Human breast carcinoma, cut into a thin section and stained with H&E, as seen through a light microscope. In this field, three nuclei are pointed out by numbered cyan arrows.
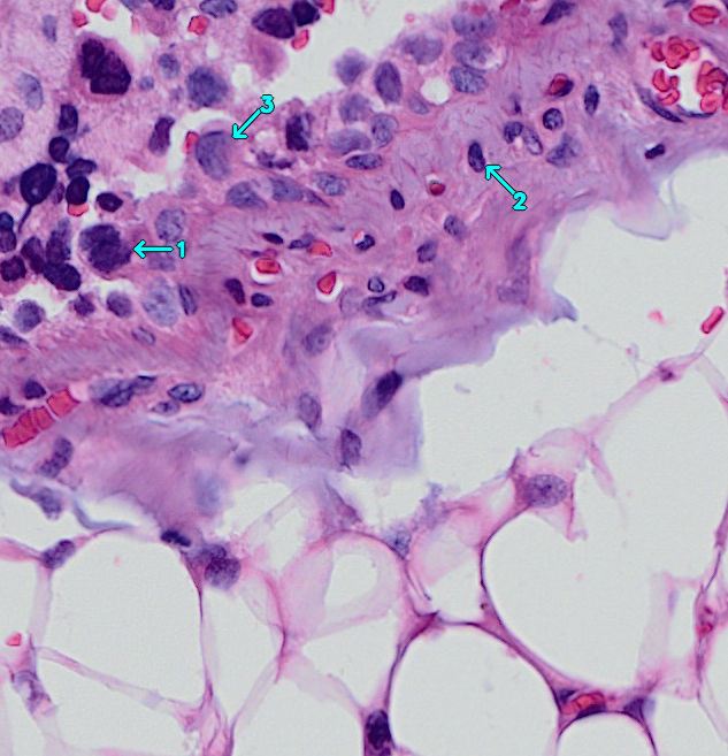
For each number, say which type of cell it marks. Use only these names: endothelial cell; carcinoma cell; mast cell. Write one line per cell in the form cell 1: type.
cell 1: carcinoma cell
cell 2: mast cell
cell 3: carcinoma cell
